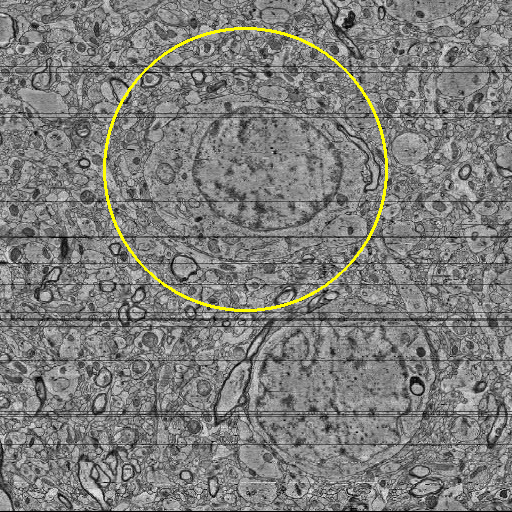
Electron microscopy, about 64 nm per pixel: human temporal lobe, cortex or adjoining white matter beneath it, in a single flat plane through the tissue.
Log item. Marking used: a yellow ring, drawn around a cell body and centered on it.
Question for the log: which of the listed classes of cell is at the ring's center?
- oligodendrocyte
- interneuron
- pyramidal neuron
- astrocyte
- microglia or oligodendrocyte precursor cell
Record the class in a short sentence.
At the center of the ring lies an interneuron.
